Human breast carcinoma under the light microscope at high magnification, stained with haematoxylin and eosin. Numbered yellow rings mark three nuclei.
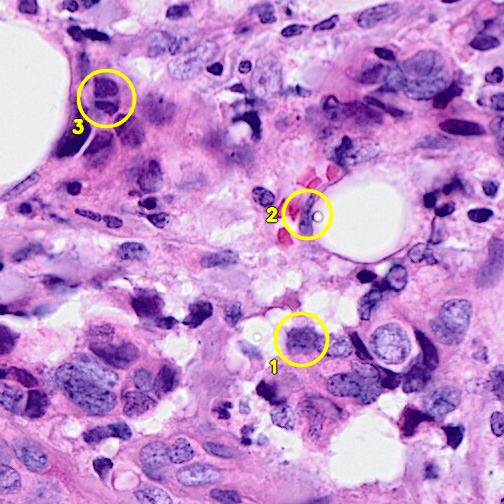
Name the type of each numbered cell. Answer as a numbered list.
1. carcinoma cell
2. endothelial cell
3. carcinoma cell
